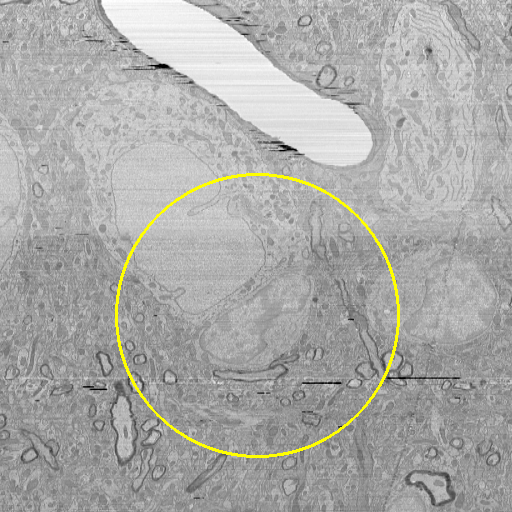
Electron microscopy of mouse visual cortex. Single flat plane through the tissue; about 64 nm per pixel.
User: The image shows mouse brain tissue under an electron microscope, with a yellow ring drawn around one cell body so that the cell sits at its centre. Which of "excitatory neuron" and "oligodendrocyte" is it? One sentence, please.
At the centre of the ring sits an oligodendrocyte.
